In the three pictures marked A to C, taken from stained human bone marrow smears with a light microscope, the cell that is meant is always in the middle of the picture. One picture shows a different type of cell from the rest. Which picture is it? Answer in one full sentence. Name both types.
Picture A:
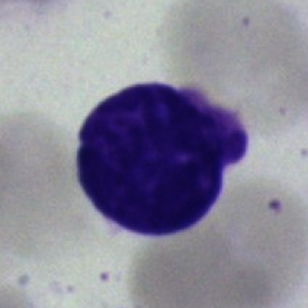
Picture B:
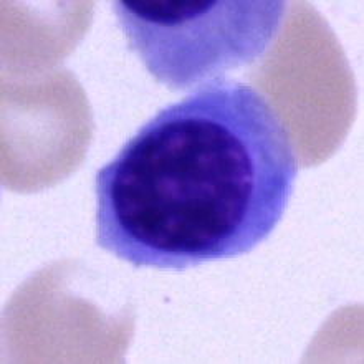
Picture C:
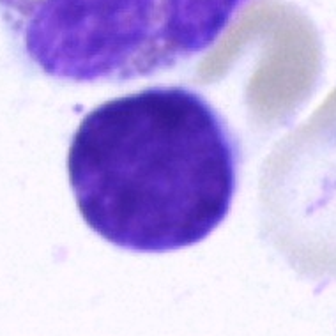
The different one is picture B; it shows an erythroblast, whereas all the others show lymphocytes.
